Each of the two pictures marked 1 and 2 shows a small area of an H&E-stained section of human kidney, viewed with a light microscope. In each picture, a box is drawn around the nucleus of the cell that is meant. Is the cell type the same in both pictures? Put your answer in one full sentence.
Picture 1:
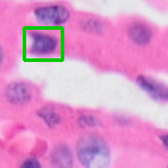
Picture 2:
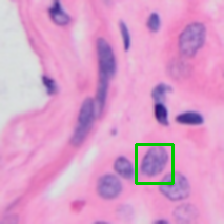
No, they differ: the cell is a “loop of Henle or distal tubule cell” in picture 1 and a collecting duct cell in picture 2.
